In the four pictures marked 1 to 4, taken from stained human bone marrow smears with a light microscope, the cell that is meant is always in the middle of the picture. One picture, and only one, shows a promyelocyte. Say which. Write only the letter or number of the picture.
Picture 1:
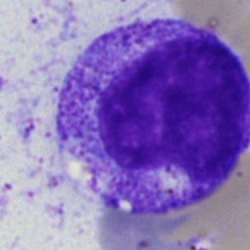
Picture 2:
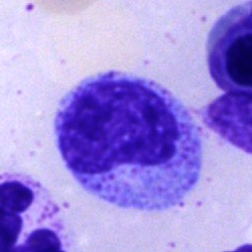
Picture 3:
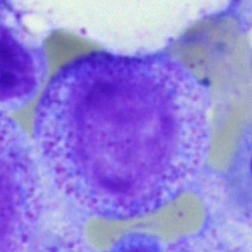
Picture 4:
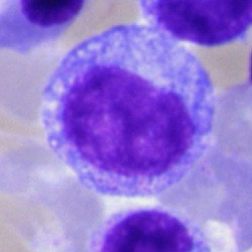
4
